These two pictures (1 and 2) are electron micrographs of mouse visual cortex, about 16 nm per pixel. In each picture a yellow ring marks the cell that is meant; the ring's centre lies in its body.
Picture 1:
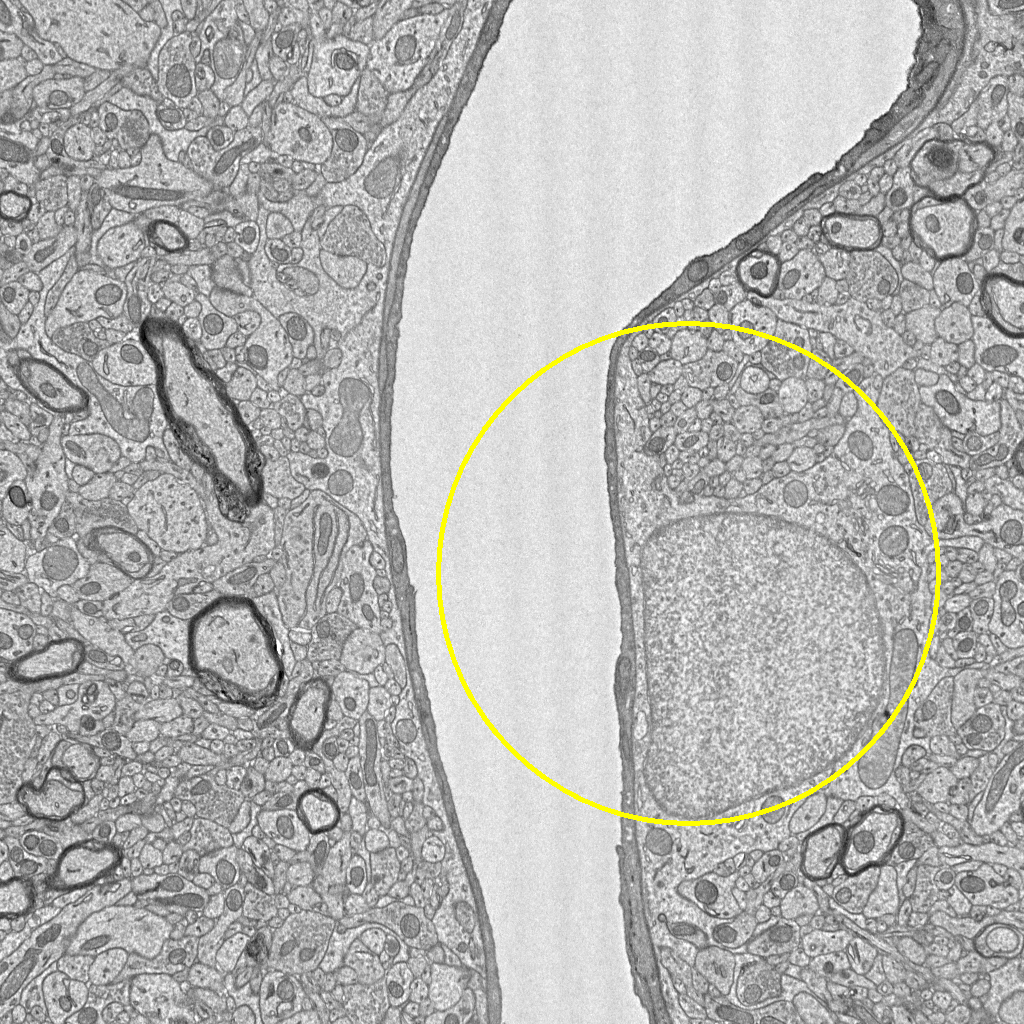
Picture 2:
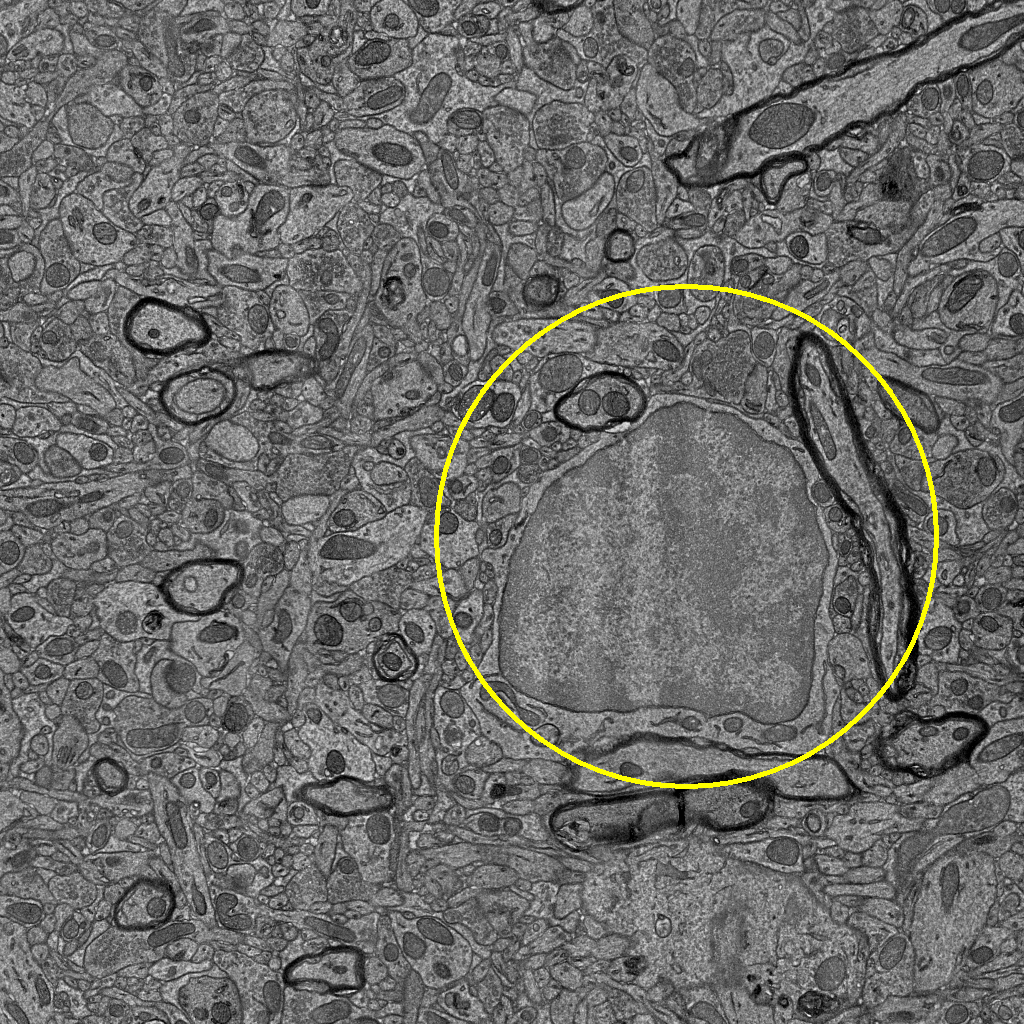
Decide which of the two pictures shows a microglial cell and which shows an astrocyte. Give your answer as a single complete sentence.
Picture 2 shows a microglial cell, while picture 1 shows an astrocyte.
